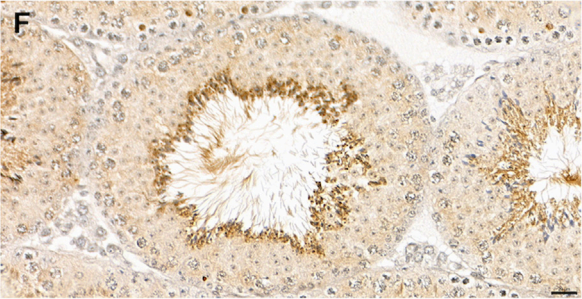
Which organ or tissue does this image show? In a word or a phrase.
Testis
